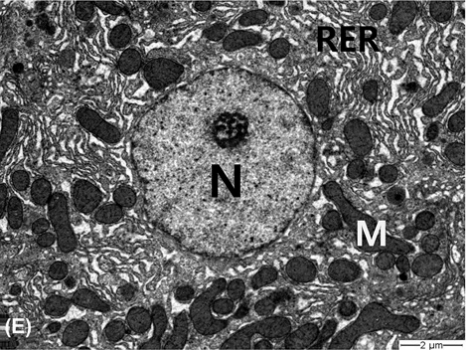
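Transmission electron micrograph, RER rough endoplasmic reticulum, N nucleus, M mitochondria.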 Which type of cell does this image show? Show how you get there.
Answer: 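A large round nucleus with a prominent nucleolus. Numerous dense mitochondria scattered through the cytoplasm. Extensive parallel cisternae of rough endoplasmic reticulum fill the cytoplasm. The answer: hepatocytes.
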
